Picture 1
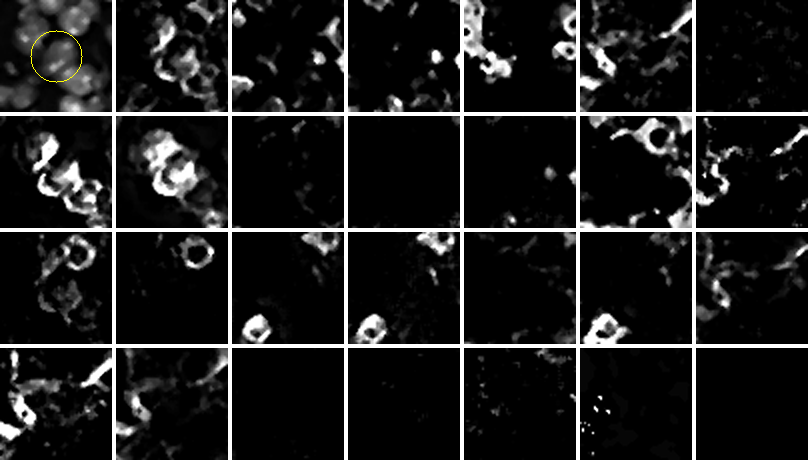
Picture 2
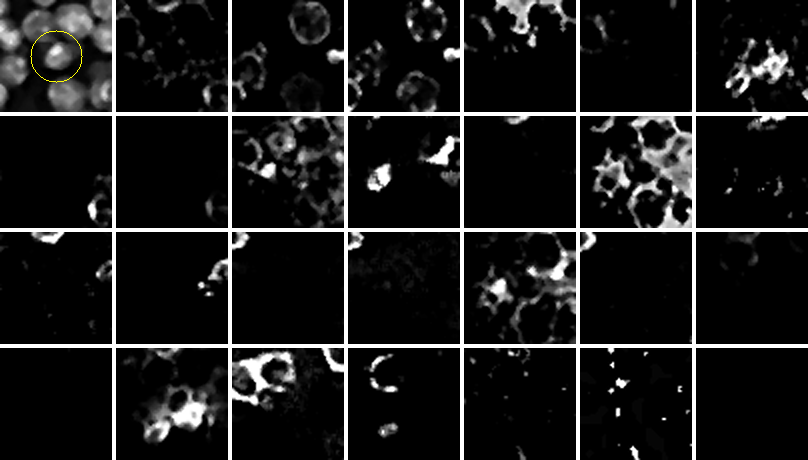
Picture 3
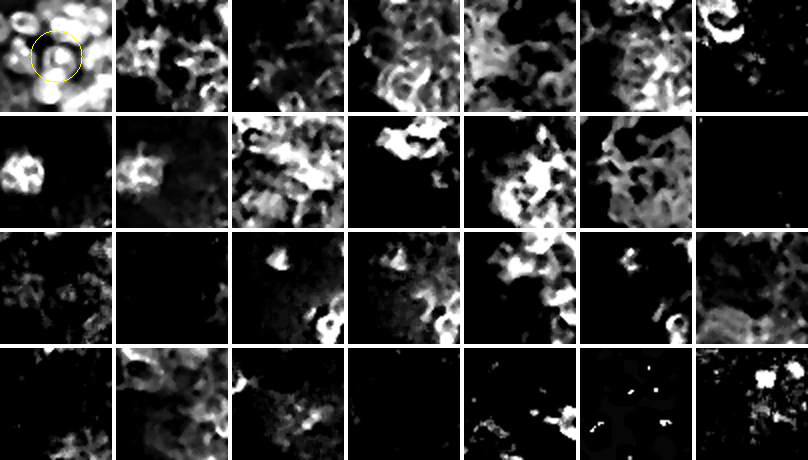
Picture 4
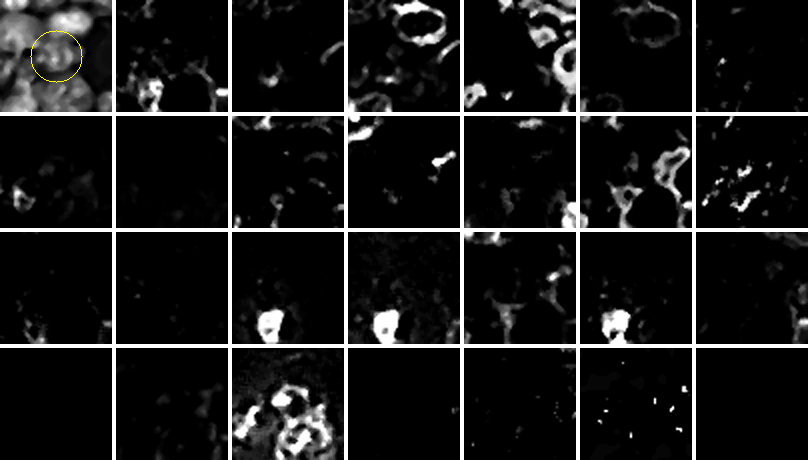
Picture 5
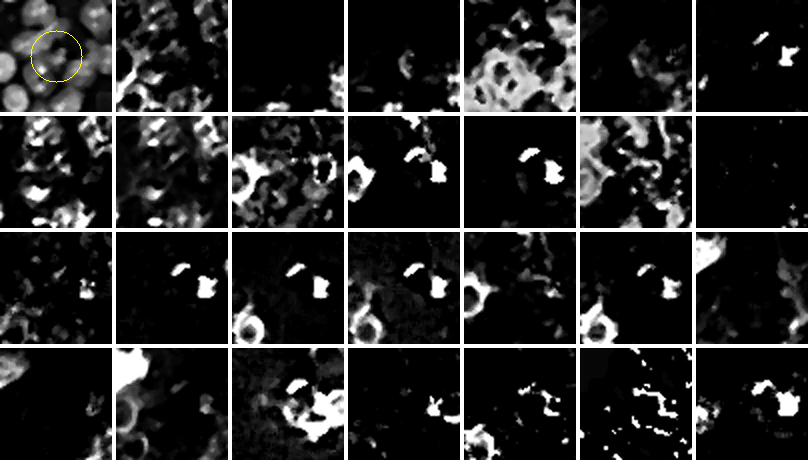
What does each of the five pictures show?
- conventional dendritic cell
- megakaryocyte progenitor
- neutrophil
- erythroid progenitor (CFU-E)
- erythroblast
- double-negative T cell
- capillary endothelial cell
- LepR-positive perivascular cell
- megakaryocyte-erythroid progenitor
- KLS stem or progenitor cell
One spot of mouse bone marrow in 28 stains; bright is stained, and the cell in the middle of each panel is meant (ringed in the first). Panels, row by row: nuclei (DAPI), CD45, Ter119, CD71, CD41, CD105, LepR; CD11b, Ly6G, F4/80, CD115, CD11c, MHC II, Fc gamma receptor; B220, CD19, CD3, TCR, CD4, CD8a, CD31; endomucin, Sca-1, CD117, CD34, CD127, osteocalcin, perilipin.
1. neutrophil
2. LepR-positive perivascular cell
3. conventional dendritic cell
4. megakaryocyte-erythroid progenitor
5. megakaryocyte progenitor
